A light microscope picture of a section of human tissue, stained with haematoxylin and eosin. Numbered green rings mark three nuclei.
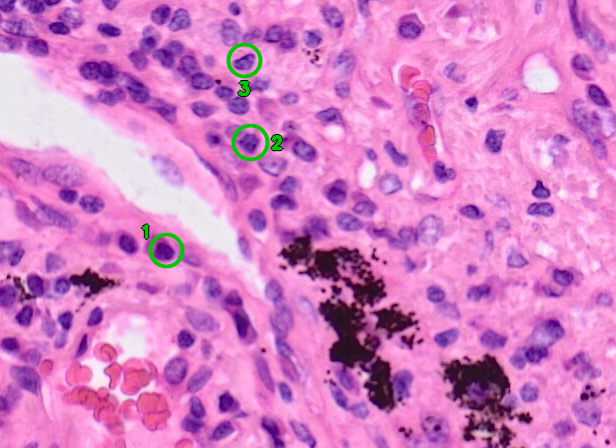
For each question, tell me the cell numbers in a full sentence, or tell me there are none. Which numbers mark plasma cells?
Cell 1 is a plasma cell, and it is the only numbered cell that is.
